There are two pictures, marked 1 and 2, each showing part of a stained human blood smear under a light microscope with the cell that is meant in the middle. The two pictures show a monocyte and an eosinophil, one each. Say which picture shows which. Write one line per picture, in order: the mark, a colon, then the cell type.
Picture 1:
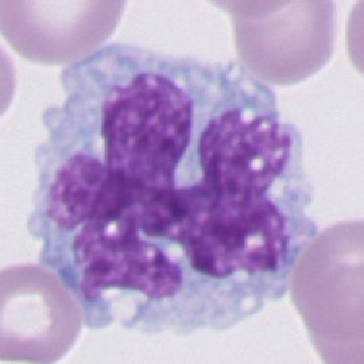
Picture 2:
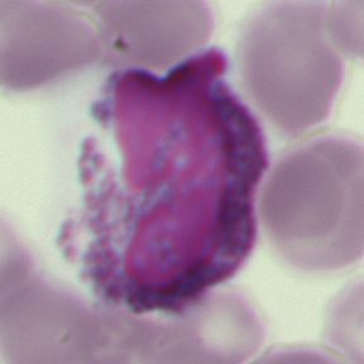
1: monocyte
2: eosinophil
